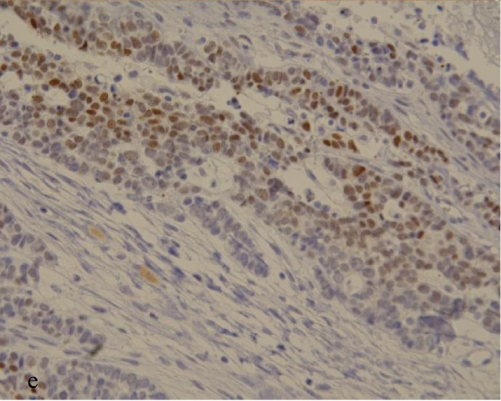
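Carcinoma cells arranged in cords and elongated nests running diagonally through a pale fibrous stroma of spindle-shaped cells. Many tumour cell nuclei are stained brown, while others in the same nests remain blue, giving a patchy, focal pattern of staining. The tumour nuclei are oval, crowded and overlapping, with little cytoplasm. The stroma between the cords contains thin, wavy, lightly counterstained fibres and scattered elongated nuclei that are unstained. Small clefts separate some of the tumour cords from the surrounding stroma.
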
